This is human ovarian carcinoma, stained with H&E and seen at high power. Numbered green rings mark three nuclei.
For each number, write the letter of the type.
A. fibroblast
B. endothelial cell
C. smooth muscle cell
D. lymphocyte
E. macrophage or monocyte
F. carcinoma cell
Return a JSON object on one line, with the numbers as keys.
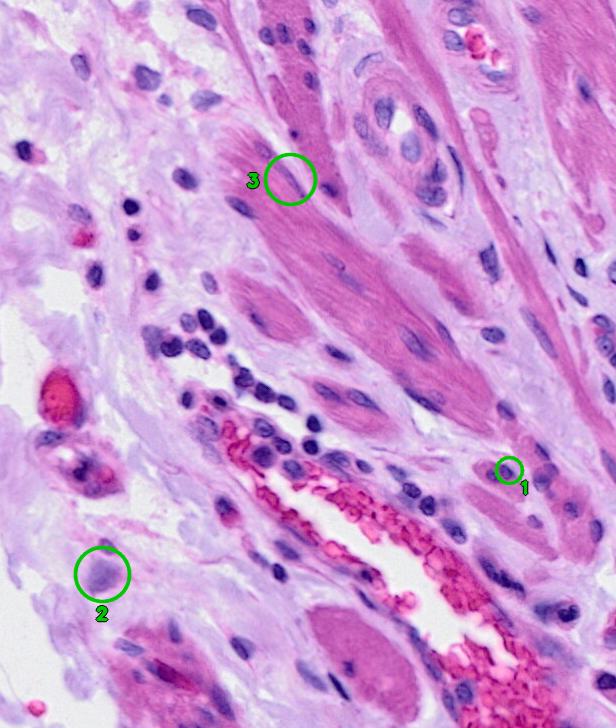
{"1": "C", "2": "A", "3": "C"}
